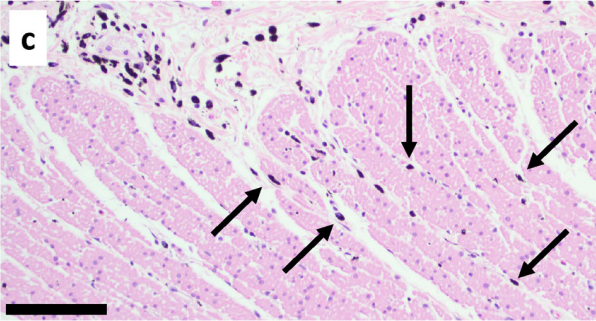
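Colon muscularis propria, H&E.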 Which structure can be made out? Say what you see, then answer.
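Pale pink bundles of smooth muscle cells cut across, separated by narrow clefts. Muscle cells have small central nuclei.
Conclusion: muscle bundles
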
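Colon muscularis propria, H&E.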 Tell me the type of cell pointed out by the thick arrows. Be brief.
Pigment-containing macrophages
